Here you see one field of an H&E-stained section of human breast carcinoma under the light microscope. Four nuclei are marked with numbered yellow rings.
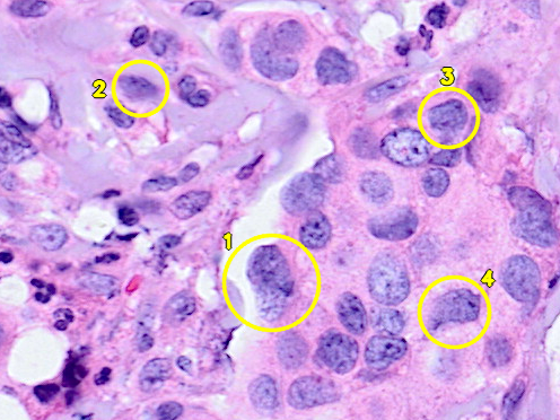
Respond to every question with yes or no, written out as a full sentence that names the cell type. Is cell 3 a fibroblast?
No, the cell denoted 3 is a carcinoma cell rather than a fibroblast.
